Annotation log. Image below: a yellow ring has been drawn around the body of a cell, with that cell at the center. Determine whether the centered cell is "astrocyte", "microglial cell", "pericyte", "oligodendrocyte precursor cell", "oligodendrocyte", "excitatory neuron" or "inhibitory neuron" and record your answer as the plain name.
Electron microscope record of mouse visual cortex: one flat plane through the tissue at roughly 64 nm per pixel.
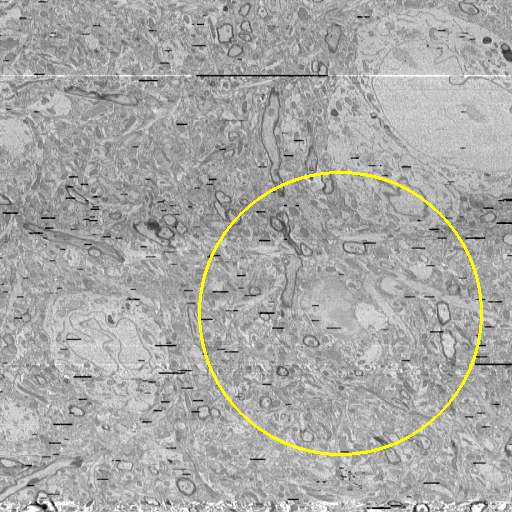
microglial cell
